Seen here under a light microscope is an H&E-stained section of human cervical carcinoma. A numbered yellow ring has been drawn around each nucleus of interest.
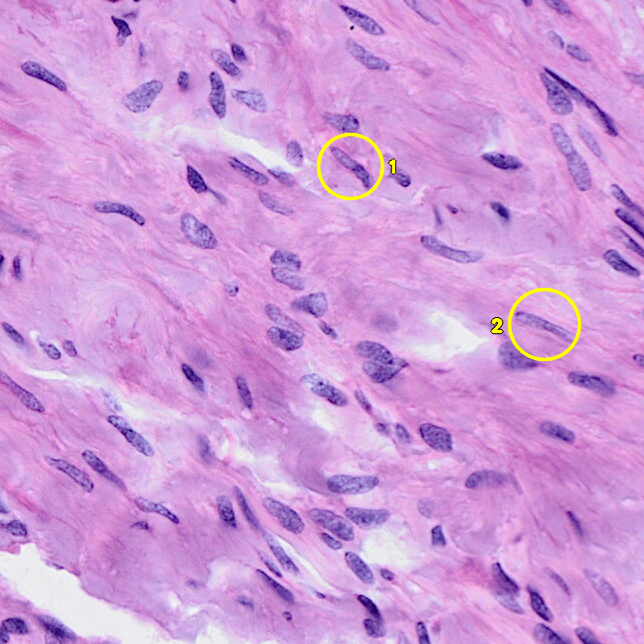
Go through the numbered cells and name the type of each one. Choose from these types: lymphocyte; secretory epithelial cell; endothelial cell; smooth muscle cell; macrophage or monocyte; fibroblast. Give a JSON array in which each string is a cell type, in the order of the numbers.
["smooth muscle cell", "fibroblast"]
